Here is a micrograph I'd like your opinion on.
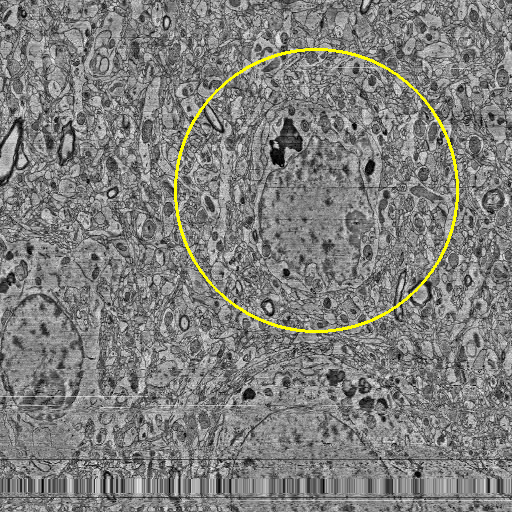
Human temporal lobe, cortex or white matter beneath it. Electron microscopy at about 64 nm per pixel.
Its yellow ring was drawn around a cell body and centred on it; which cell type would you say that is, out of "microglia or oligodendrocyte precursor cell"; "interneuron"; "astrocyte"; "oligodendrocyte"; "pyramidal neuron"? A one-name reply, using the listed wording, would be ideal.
interneuron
